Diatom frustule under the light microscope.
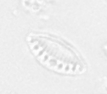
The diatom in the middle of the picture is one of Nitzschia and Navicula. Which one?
Nitzschia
